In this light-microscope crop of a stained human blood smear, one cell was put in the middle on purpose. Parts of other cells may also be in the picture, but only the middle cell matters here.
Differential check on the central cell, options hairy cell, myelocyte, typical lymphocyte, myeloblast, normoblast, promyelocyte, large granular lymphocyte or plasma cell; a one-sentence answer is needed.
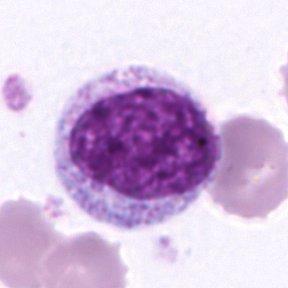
The cell centred in this crop is categorized as a myelocyte.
